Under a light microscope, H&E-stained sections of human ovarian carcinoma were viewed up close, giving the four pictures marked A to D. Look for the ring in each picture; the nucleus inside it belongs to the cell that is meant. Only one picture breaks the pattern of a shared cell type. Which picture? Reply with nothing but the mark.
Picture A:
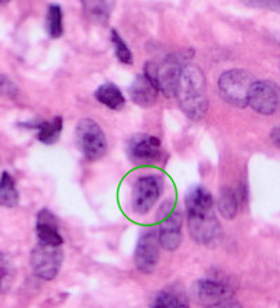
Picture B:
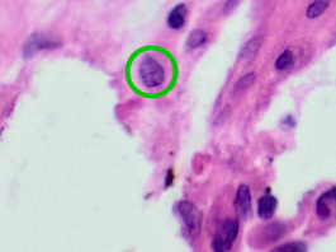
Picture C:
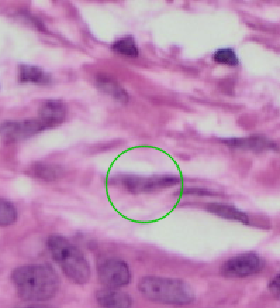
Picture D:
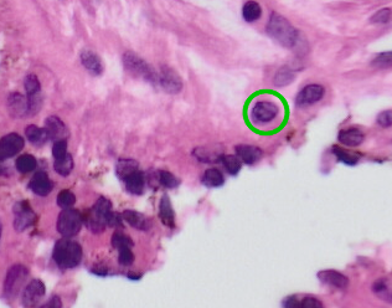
C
